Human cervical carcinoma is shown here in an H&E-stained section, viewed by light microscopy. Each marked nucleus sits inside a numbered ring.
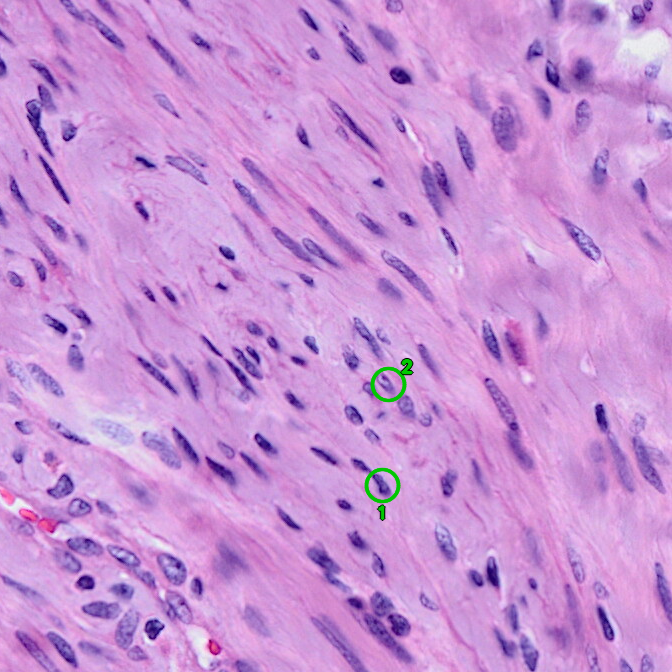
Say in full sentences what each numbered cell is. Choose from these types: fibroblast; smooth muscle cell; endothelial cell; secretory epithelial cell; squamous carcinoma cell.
Cell 1 is a fibroblast. Cell 2 is a smooth muscle cell.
